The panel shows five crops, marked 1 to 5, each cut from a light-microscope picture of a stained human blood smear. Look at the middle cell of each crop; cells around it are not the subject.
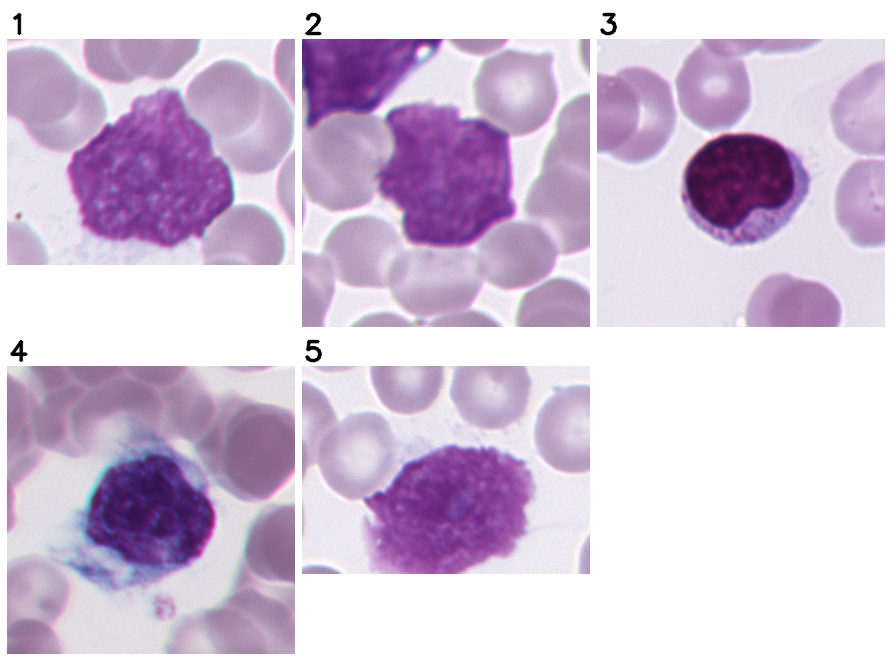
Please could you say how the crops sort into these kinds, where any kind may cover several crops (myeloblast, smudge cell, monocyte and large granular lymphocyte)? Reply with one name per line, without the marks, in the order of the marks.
smudge cell
smudge cell
large granular lymphocyte
monocyte
smudge cell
